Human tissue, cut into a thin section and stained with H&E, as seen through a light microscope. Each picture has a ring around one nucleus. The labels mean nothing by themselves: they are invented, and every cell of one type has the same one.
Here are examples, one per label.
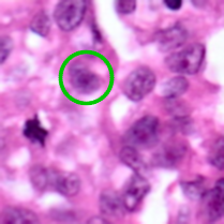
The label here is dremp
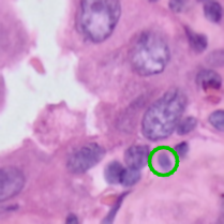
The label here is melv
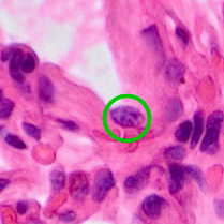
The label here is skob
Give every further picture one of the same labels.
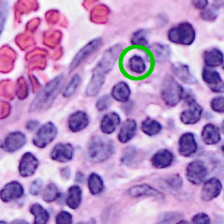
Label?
melv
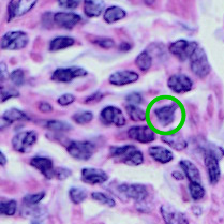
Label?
melv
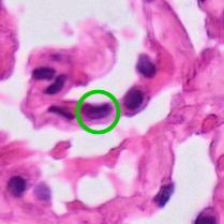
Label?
skob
